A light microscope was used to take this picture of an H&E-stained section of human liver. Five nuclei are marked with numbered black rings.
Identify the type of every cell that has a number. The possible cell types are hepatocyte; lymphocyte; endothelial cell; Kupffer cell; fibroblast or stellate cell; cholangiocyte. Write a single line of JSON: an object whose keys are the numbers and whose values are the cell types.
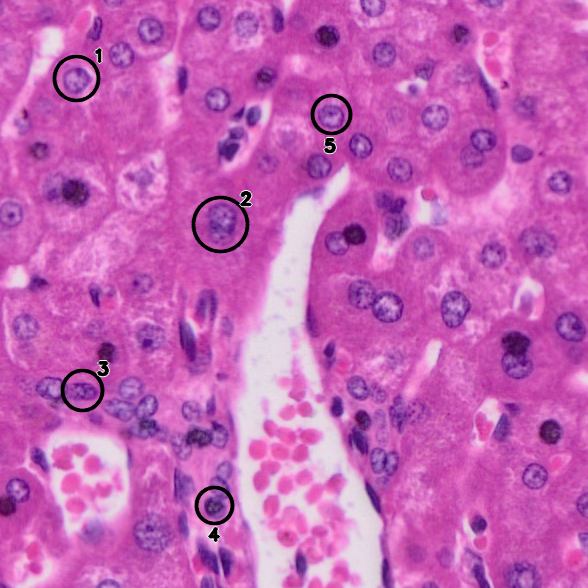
{"1": "hepatocyte", "2": "hepatocyte", "3": "cholangiocyte", "4": "cholangiocyte", "5": "hepatocyte"}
